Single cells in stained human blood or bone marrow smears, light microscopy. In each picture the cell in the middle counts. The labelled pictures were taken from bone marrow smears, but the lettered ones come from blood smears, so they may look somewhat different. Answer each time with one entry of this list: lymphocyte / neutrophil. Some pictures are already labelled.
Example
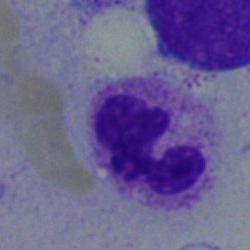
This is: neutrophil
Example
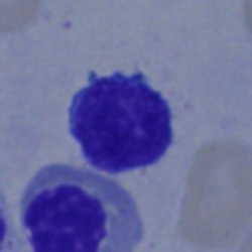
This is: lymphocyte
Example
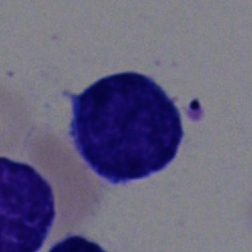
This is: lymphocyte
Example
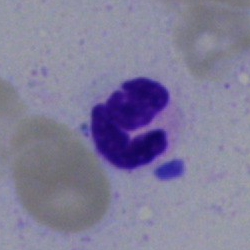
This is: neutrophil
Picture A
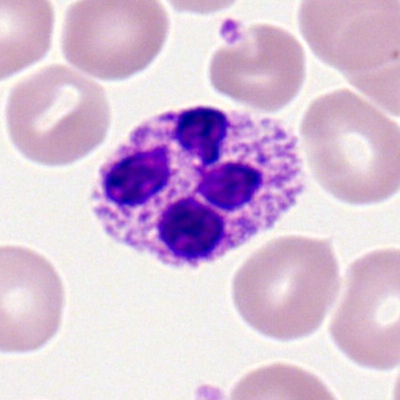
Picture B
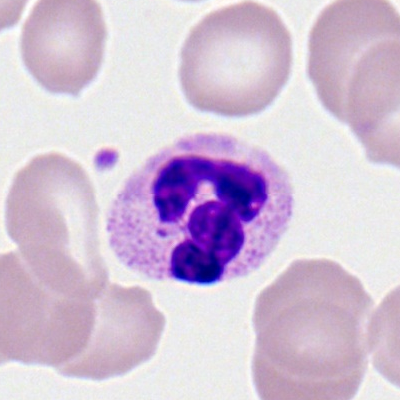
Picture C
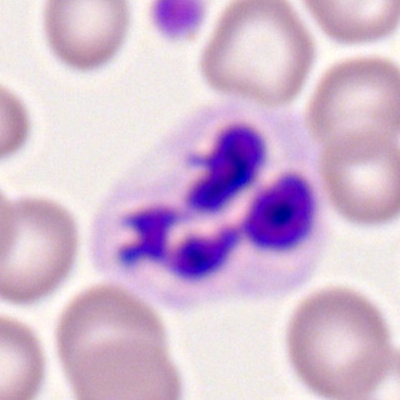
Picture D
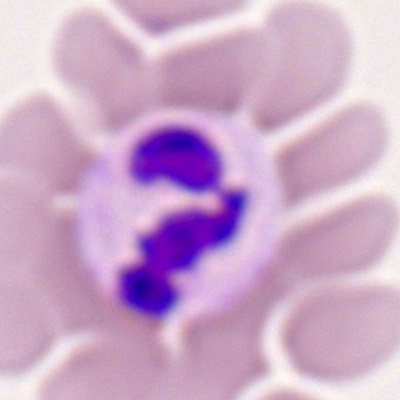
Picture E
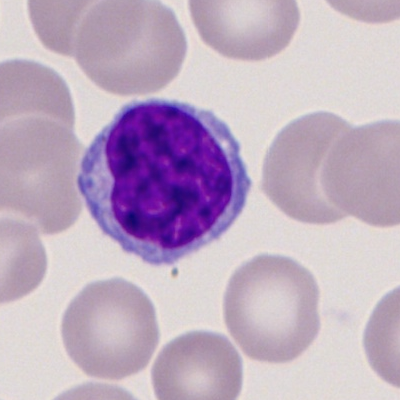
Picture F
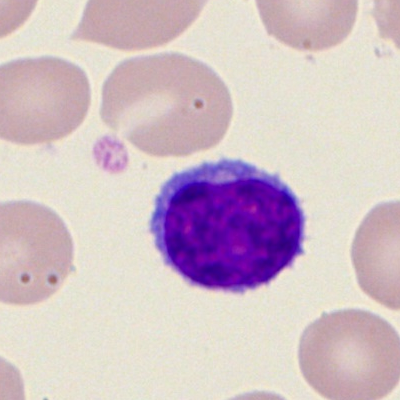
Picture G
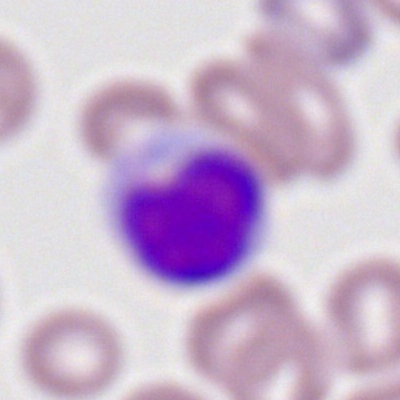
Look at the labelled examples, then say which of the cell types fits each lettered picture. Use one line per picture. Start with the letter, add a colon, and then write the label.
A: neutrophil
B: neutrophil
C: neutrophil
D: neutrophil
E: lymphocyte
F: lymphocyte
G: lymphocyte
